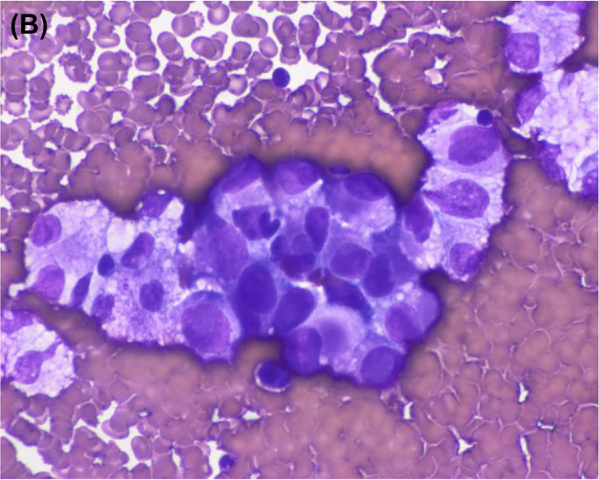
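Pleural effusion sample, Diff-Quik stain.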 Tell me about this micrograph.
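A medium-sized, crowded cluster of large cells lies amid red blood cells, its centre darker blue where cells overlap and its edges showing ample pale vacuolated cytoplasm. The nuclei are large, round to oval and unequal in size, with no spindle cells, fitting a cluster of epithelioid neoplastic cells.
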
